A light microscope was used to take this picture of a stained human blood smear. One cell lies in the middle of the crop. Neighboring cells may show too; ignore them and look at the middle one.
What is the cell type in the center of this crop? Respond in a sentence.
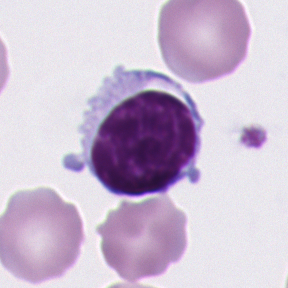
The single cell at the center of the crop is a typical lymphocyte.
